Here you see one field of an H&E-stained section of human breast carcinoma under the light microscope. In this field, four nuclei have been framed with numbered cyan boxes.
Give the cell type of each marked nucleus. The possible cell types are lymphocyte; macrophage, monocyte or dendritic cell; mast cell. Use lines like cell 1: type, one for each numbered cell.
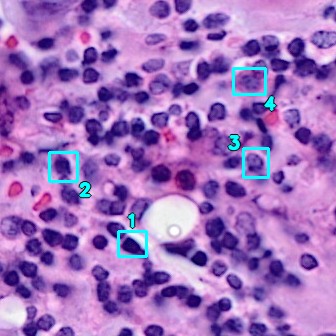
cell 1: lymphocyte
cell 2: lymphocyte
cell 3: lymphocyte
cell 4: mast cell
